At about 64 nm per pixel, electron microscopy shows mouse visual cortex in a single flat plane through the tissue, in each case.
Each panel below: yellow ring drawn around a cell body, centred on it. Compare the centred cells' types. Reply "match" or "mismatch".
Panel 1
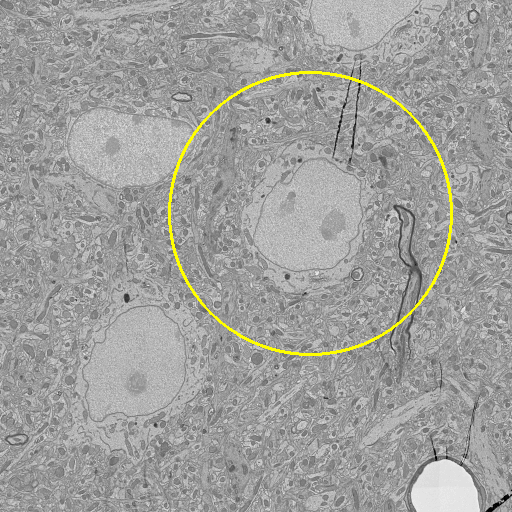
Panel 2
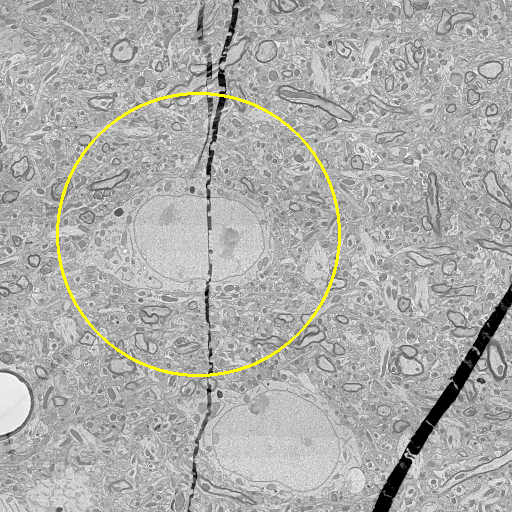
match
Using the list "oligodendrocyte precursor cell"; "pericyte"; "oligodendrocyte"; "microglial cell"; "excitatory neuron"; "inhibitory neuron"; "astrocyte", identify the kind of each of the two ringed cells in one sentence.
Each of the ringed cells, first and second, is an excitatory neuron.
